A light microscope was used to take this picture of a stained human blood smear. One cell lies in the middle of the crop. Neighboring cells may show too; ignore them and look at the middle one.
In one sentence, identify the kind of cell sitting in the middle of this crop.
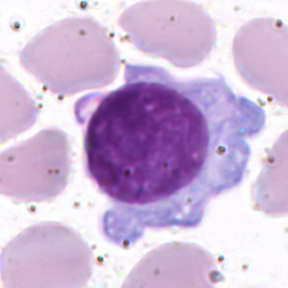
The central cell, amid any neighbouring cells, is a plasma cell.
